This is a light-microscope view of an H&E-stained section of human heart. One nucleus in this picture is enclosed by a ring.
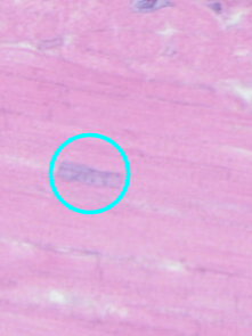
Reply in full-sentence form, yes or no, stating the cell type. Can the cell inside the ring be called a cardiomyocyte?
Yes, in this section the cell inside the ring is a cardiomyocyte.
